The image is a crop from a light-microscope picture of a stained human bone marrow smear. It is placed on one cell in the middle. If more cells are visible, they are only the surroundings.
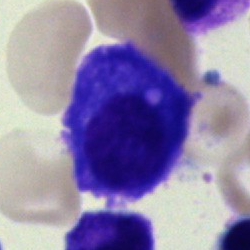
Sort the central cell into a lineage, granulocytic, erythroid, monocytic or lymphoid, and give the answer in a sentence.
The cell at the very center of the crop belongs to the lymphoid lineage.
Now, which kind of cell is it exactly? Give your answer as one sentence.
The middle of this crop is occupied by a plasma cell.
